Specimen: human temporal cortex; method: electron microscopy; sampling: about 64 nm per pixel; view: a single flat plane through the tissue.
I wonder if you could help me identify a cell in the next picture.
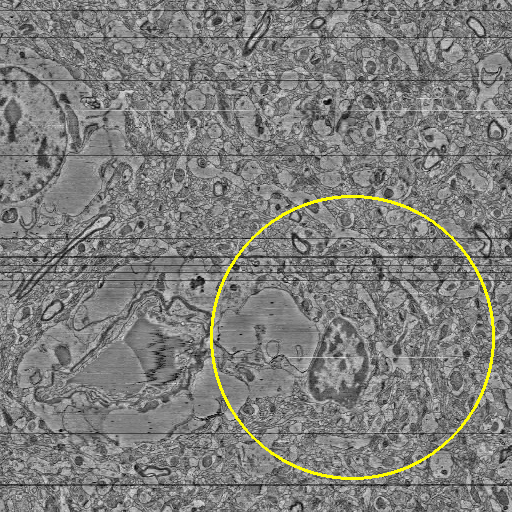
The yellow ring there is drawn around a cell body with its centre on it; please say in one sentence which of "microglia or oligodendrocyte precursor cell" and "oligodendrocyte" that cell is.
The yellow ring is centred on a microglial cell or oligodendrocyte precursor cell.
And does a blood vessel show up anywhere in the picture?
Yes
